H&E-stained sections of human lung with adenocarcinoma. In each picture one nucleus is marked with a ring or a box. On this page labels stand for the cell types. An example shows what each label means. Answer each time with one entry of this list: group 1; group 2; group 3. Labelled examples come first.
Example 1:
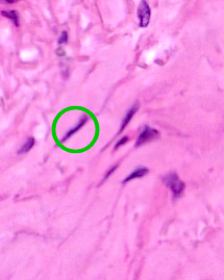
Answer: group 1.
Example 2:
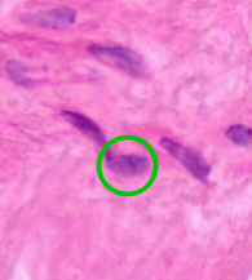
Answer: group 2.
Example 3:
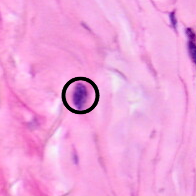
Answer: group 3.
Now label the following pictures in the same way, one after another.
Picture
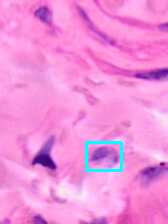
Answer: group 1.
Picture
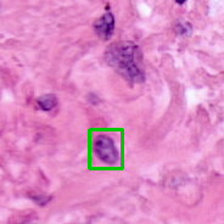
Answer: group 3.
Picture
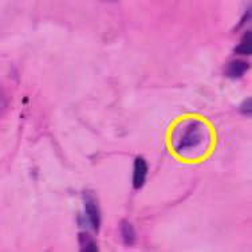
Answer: group 1.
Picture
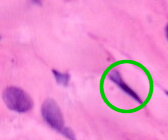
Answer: group 1.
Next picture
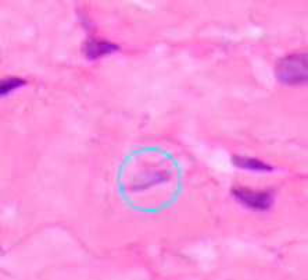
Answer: group 1.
